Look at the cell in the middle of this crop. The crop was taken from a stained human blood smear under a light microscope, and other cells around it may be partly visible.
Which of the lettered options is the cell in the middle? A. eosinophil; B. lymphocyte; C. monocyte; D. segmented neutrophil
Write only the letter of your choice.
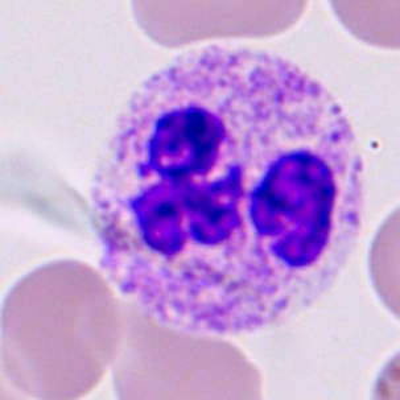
D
